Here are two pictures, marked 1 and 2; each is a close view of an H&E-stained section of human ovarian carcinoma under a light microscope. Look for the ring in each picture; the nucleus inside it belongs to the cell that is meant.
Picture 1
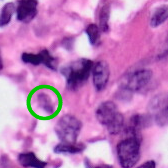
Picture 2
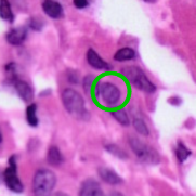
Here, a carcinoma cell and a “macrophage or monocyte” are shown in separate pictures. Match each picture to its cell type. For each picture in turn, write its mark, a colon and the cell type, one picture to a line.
1: macrophage or monocyte
2: carcinoma cell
